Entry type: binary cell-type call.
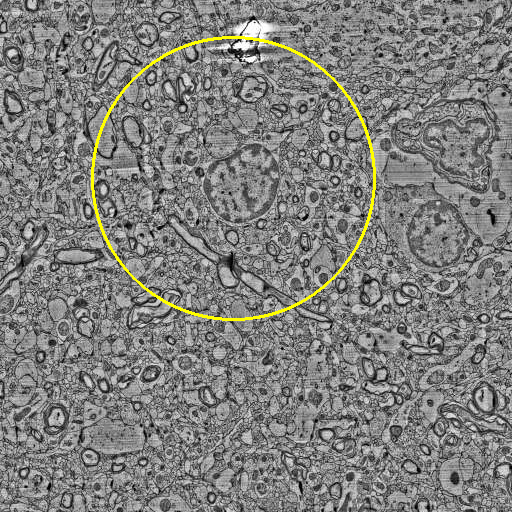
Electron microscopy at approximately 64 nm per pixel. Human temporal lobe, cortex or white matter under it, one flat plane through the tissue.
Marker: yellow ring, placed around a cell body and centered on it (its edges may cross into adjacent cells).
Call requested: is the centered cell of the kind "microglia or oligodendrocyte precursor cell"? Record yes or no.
yes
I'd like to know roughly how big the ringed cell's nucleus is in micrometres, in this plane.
About 5 by 4 micrometres in this plane.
